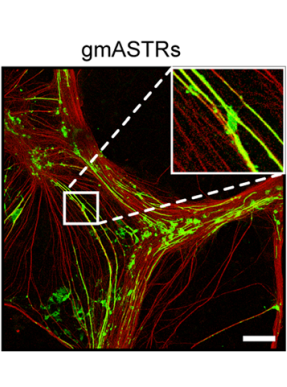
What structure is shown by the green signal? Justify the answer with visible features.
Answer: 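Green segments lie along and wrap the red fibres. The green segments are tube-like and aligned with the fibres, shown enlarged in the inset. The answer: myelin.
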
